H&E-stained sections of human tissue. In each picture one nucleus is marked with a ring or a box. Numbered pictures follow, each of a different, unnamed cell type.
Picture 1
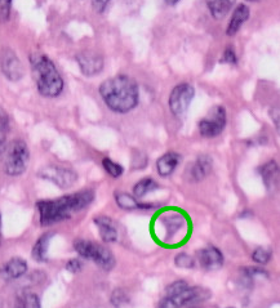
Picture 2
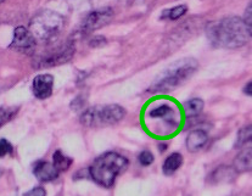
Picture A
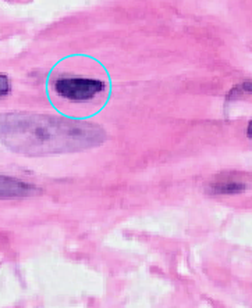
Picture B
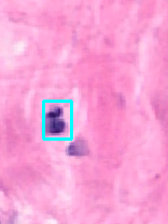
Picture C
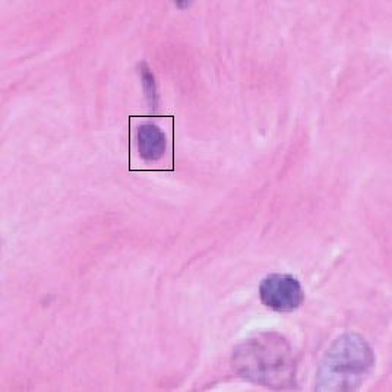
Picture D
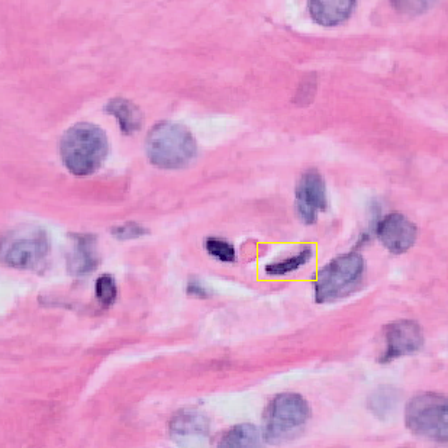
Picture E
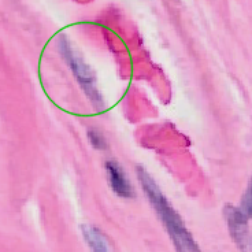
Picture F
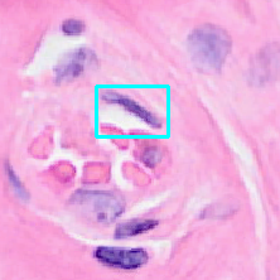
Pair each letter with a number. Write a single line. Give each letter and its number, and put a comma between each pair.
A 2, B 2, C 2, D 1, E 1, F 1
